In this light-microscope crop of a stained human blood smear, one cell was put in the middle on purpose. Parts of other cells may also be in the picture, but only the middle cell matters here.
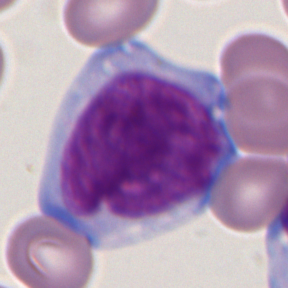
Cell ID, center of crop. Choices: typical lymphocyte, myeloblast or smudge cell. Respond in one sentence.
The cell of interest, in the center, is a myeloblast.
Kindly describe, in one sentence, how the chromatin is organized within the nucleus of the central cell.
The chromatin of this one is coarsely clumped.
